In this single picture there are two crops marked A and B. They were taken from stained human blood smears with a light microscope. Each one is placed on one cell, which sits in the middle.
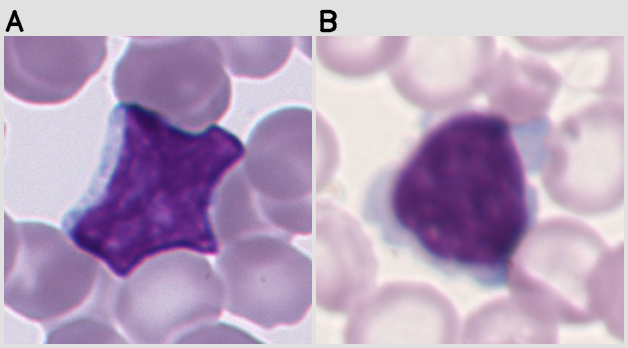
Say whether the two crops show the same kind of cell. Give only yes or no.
yes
